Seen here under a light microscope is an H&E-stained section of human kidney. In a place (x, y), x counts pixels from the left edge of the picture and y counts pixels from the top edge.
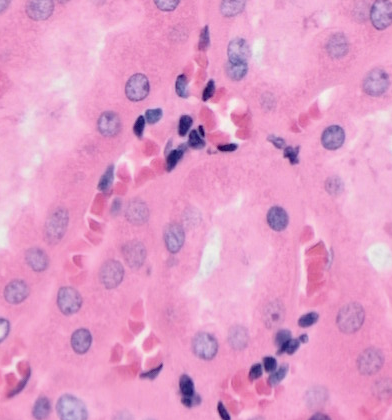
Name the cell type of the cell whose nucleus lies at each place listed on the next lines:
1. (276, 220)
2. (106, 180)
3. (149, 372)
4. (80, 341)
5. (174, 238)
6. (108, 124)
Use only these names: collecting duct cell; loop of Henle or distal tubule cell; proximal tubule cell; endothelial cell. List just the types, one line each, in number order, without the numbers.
proximal tubule cell
endothelial cell
endothelial cell
proximal tubule cell
proximal tubule cell
proximal tubule cell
